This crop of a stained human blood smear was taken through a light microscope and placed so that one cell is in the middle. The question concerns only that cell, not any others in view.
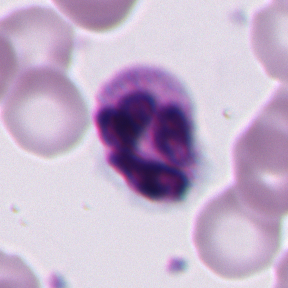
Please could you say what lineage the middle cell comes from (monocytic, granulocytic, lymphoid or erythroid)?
granulocytic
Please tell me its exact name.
segmented neutrophil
